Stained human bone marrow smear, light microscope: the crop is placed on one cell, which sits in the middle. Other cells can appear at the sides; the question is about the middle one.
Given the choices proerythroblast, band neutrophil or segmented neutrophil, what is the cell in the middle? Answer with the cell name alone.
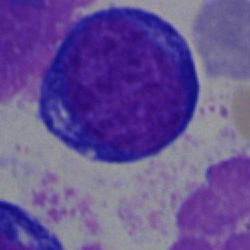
proerythroblast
